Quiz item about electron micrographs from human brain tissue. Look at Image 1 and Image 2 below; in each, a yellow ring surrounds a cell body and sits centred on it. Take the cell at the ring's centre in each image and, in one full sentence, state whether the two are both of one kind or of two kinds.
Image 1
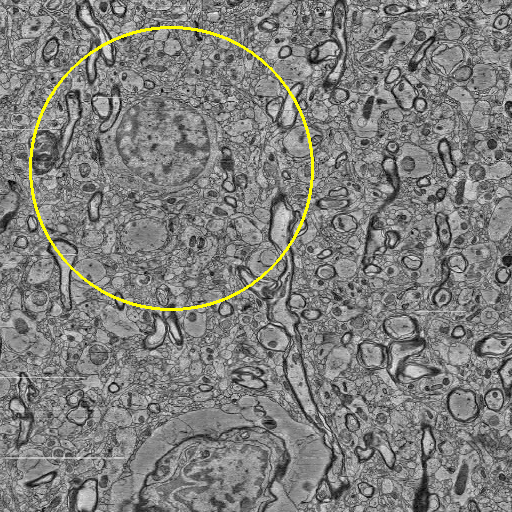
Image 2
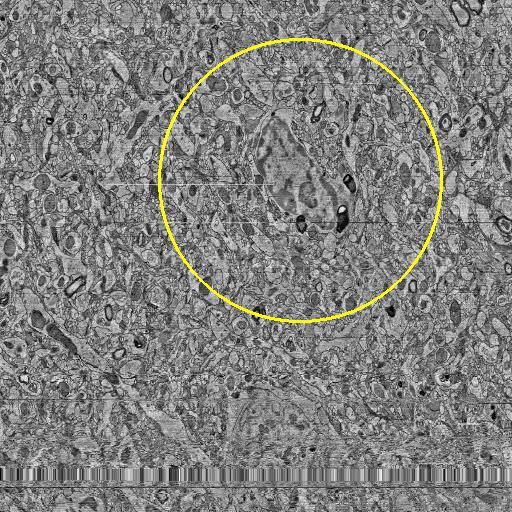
In Image 1 and Image 2, the cells at the ring centres are of two kinds.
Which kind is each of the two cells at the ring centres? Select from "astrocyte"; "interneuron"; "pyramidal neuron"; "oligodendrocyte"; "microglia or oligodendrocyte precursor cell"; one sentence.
The cell at the centre of the ring is an oligodendrocyte in the first picture and a microglial cell or oligodendrocyte precursor cell in the second.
